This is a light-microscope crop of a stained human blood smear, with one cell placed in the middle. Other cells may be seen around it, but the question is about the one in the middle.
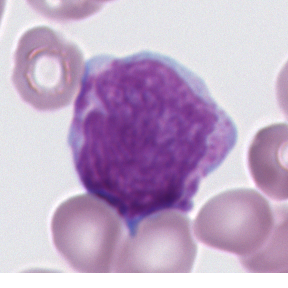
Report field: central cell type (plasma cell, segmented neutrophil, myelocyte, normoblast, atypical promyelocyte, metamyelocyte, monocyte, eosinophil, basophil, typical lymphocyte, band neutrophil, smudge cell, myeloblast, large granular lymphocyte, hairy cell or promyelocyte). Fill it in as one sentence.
The cell occupying the middle of the crop is an atypical promyelocyte.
